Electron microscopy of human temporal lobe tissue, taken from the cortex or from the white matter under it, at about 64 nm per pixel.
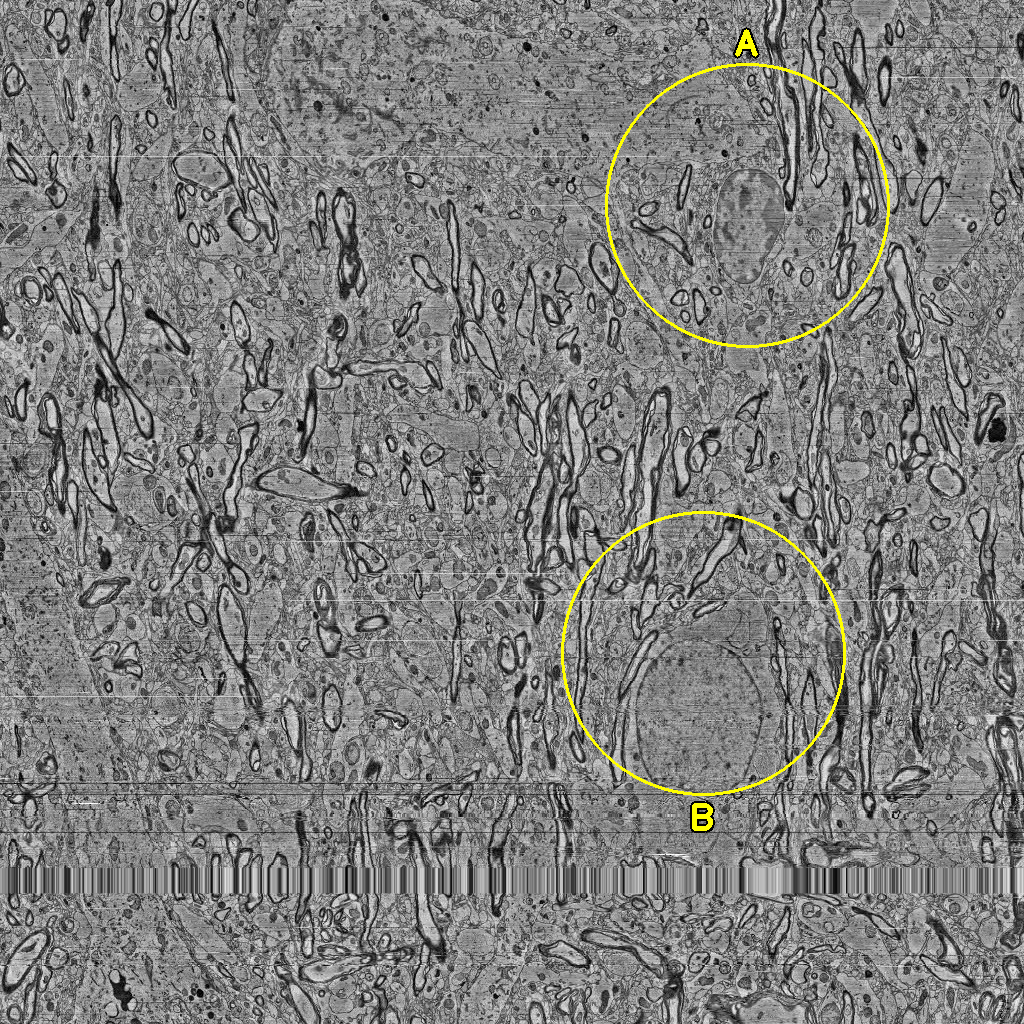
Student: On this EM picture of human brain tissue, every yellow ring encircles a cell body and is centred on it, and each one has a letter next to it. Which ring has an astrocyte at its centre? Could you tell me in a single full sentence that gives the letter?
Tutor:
Ring B is the one drawn around the cell you are asking about.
